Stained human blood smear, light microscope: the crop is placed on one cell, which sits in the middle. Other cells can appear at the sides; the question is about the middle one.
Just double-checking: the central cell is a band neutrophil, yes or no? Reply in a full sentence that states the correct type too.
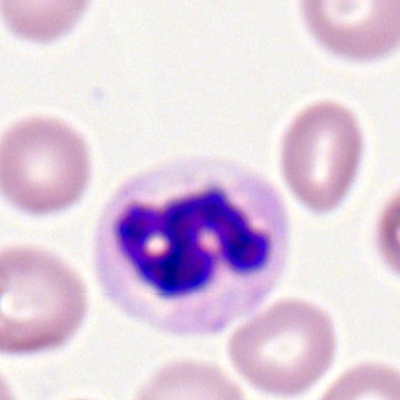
No, in the centre of the crop lies a segmented neutrophil, not a band neutrophil.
